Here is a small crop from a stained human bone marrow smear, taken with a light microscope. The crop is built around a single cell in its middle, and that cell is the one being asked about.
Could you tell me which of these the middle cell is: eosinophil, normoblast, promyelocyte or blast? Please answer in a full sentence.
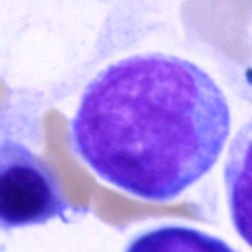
Whatever else lies nearby, the middle cell is a blast.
